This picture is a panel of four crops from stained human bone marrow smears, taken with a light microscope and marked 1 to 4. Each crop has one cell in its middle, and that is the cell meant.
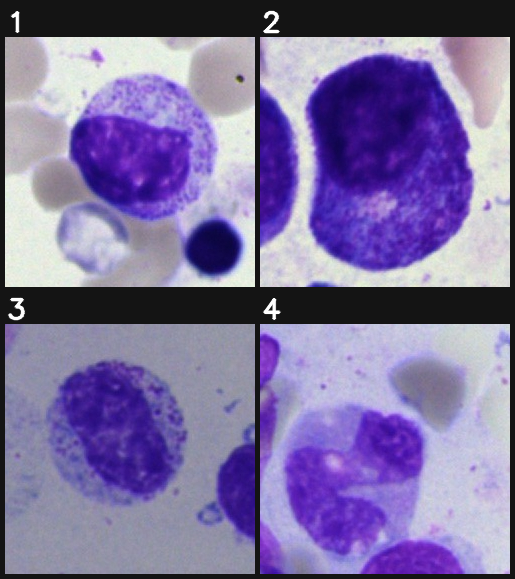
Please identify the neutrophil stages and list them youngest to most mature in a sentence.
Moving up in maturity, the order goes crop 2 (a promyelocyte), crop 3 (a myelocyte), crop 1 (a metamyelocyte) and crop 4 (a band neutrophil).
